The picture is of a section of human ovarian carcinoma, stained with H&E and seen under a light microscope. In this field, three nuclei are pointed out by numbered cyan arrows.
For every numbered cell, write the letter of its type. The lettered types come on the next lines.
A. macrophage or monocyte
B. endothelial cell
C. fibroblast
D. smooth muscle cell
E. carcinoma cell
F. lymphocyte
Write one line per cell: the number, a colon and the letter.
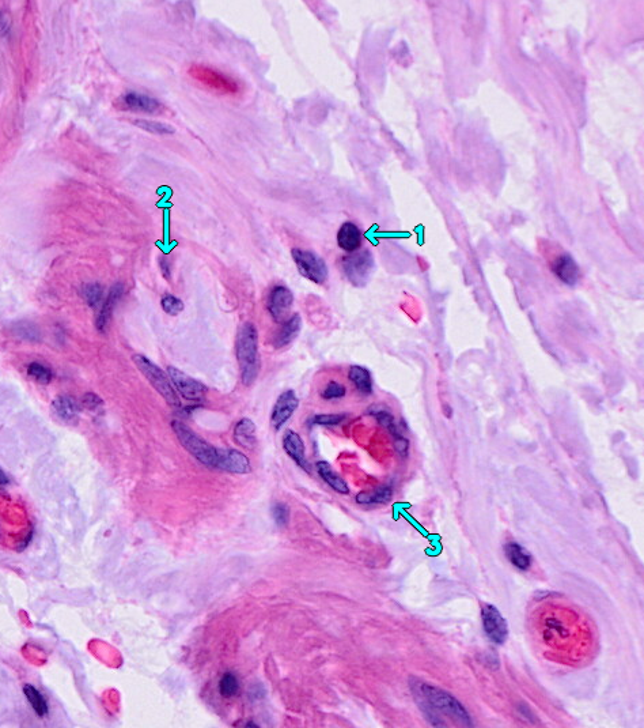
1: F
2: B
3: B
